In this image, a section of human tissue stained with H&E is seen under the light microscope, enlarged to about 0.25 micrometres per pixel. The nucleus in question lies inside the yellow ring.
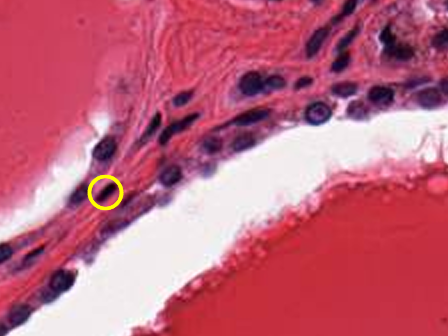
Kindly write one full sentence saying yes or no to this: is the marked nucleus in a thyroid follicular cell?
No, the marked nucleus lies within a supporting cell, not within a thyroid follicular cell.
